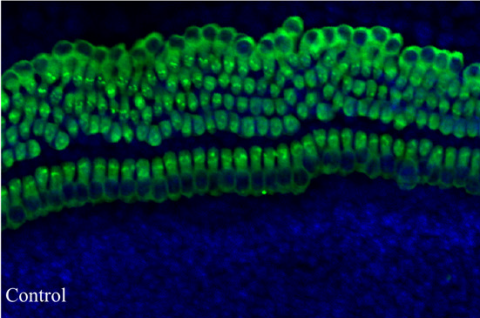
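This is a surface view of the cochlear sensory epithelium showing hair cells in green arranged in their regular rows. A wide upper band is formed by three parallel rows of closely packed outer hair cells, and beneath a narrow dark gap runs a single continuous row of inner hair cells. Below the inner row lies a dense field of blue staining.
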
